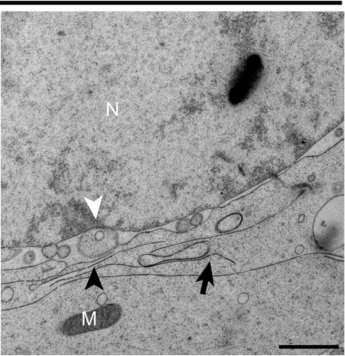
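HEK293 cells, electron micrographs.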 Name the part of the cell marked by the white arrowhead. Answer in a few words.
Inner membrane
